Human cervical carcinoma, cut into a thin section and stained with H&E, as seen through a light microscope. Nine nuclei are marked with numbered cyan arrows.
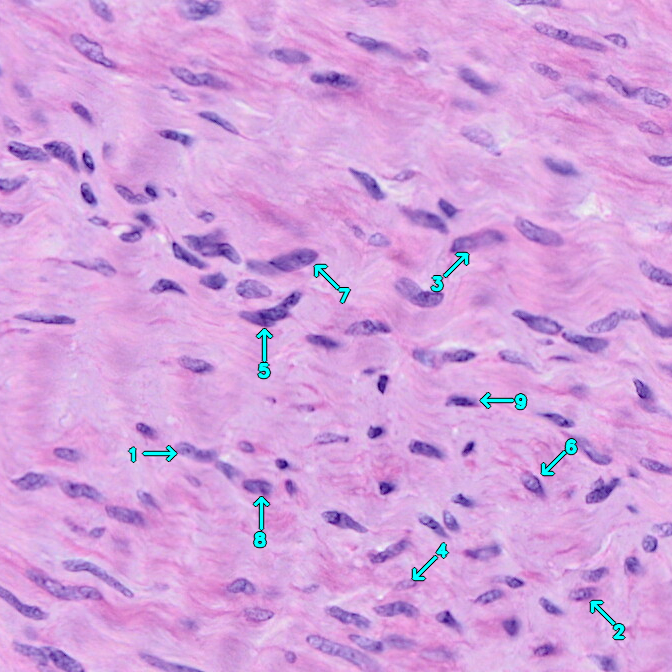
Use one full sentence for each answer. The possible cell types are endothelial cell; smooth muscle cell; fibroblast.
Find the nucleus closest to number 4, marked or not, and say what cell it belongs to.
The cell nearest to number 4 is a smooth muscle cell.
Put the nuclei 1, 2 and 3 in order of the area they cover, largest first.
Largest first, the order by area is 3, 1, 2.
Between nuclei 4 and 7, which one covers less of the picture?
The smaller nucleus is 4, and 7 covers roughly 2 times its area.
